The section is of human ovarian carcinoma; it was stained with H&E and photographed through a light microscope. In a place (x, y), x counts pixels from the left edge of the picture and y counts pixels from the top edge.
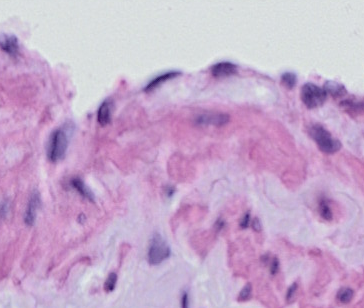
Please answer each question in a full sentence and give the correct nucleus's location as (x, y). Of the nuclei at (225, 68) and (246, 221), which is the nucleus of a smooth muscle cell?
Identify the nucleus at (246, 221) as the one belonging to a smooth muscle cell.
